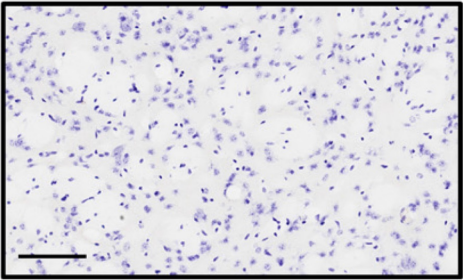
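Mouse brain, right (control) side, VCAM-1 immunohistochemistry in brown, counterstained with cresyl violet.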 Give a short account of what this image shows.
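Small round and oval nuclei are scattered evenly through pale tissue that has a lacy, finely vacuolated look. No dense clusters of cells and no brown staining can be made out. The texture stays uniform across the whole field.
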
